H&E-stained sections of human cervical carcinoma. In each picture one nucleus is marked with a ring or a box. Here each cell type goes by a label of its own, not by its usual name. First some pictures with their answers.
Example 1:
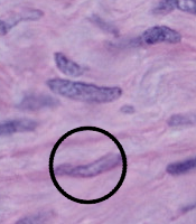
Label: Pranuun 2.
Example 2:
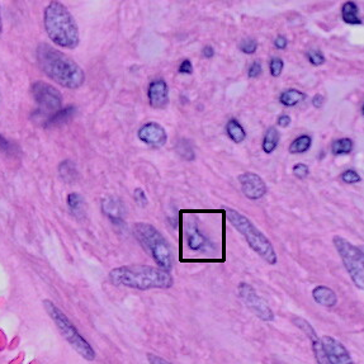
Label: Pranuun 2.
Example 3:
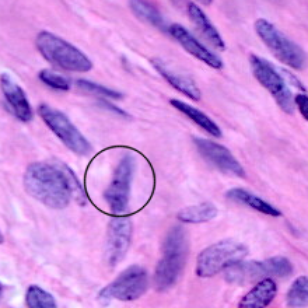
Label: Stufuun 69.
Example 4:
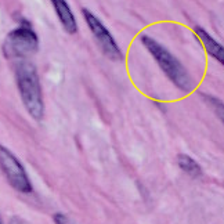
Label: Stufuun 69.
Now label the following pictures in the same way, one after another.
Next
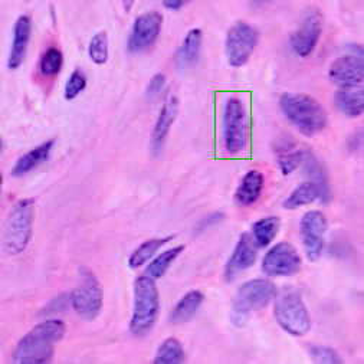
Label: Stufuun 69.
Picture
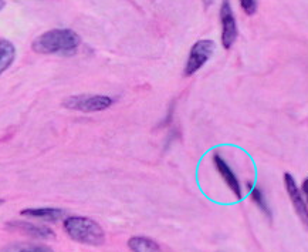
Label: Stufuun 69.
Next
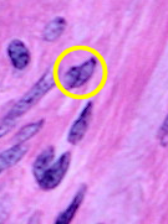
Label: Pranuun 2.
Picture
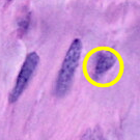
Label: Stufuun 69.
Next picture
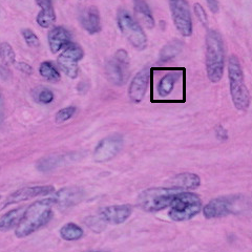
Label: Pranuun 2.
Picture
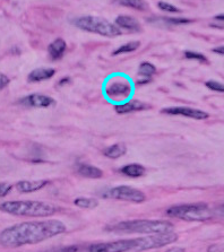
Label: Pranuun 2.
